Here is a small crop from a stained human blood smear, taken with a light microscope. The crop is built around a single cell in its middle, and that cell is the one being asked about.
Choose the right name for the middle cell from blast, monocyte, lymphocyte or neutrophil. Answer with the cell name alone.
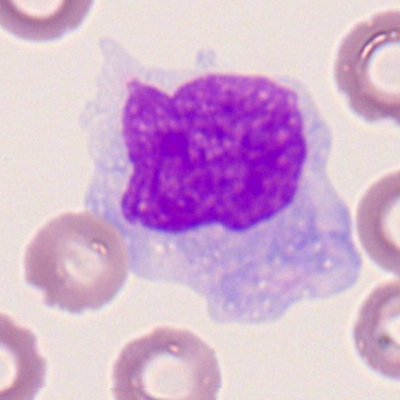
monocyte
